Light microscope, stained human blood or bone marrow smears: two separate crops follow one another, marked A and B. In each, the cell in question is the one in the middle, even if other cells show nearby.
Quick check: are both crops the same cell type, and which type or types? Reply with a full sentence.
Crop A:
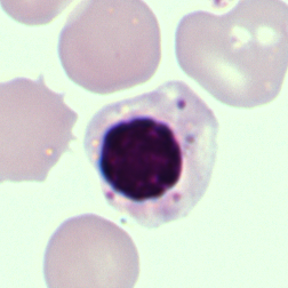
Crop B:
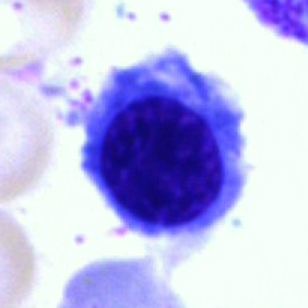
Yes, in both crops, normoblasts are the cells at the middle.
